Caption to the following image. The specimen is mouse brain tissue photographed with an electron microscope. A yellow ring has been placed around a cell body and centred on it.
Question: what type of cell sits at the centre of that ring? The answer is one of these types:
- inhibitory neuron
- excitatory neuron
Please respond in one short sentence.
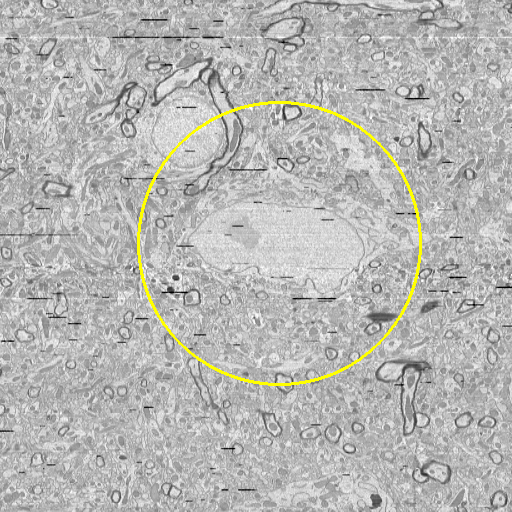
The ring surrounds the cell body of an inhibitory neuron.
